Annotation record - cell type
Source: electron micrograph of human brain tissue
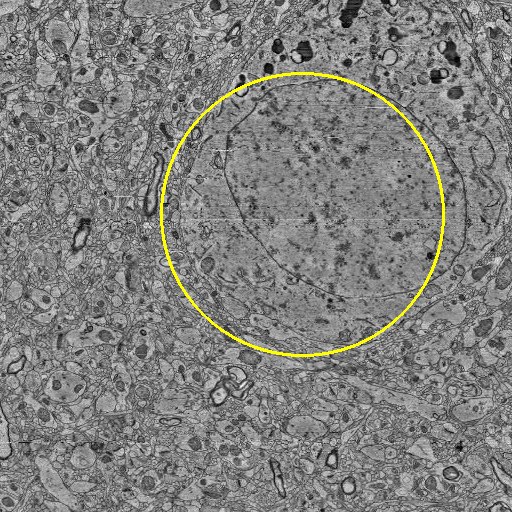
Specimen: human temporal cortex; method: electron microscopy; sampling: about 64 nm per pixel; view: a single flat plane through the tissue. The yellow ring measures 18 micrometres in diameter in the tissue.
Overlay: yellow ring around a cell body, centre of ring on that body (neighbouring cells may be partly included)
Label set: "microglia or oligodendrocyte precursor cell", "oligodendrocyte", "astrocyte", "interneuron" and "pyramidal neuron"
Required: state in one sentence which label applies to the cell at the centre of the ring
This cell should be labelled as a pyramidal neuron.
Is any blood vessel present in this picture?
No, none is visible.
